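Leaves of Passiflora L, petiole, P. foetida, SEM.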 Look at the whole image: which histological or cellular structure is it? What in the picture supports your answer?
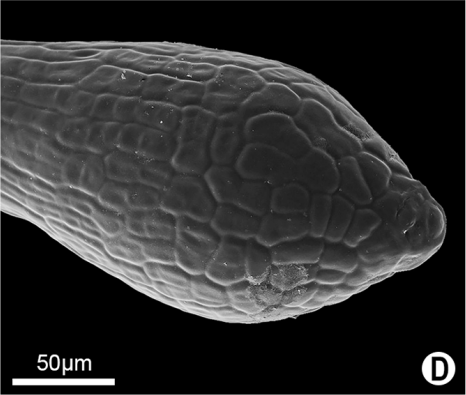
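Its surface is covered by small polygonal cells.
Hence: capitate apical region.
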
